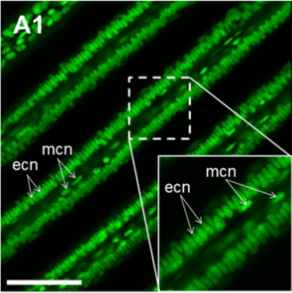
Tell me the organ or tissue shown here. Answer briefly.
gill filaments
